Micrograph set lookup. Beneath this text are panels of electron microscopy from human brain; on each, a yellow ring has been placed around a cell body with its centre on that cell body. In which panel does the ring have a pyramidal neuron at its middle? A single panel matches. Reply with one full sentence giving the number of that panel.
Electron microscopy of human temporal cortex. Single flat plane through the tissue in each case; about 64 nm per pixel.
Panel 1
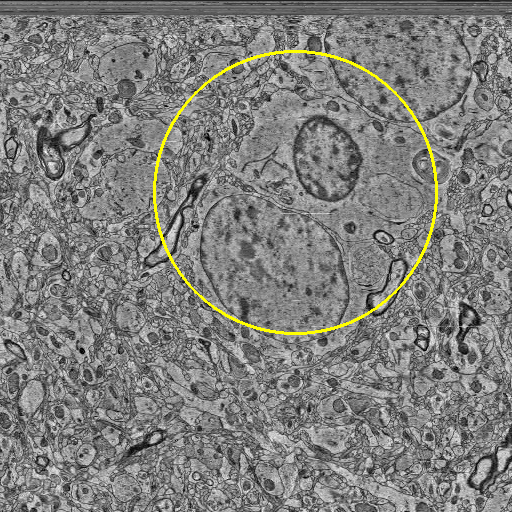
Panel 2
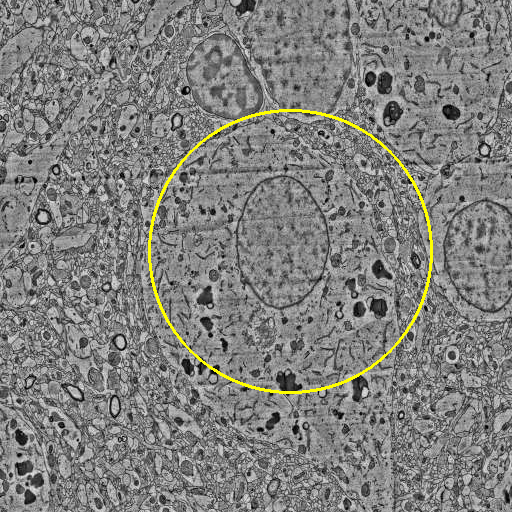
Panel 2 is the one whose ring has the sought cell at its centre.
